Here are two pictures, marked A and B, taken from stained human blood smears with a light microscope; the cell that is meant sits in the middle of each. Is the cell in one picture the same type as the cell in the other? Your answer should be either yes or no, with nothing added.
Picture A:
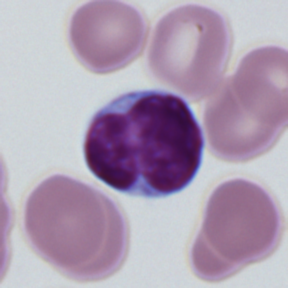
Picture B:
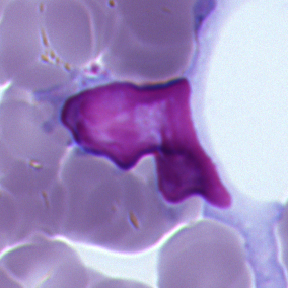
yes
